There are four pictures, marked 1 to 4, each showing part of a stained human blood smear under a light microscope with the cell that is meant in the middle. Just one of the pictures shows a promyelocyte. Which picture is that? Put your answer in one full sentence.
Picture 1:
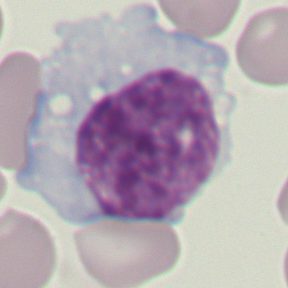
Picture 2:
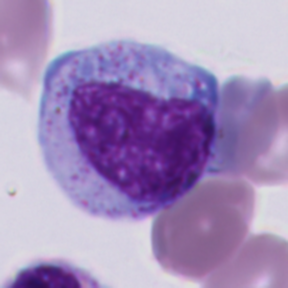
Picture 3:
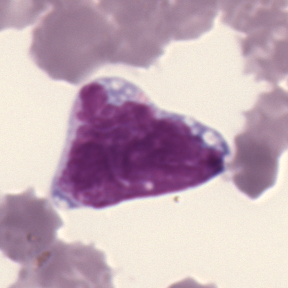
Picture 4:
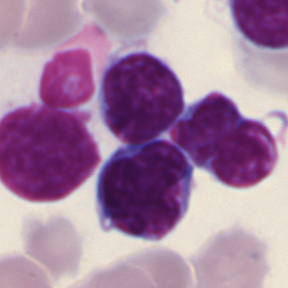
The picture with the promyelocyte is 2.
